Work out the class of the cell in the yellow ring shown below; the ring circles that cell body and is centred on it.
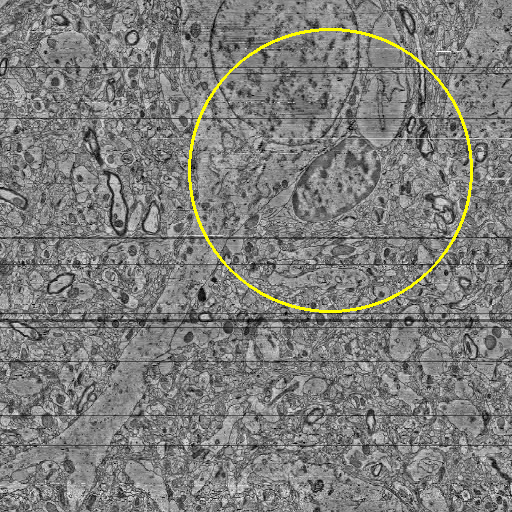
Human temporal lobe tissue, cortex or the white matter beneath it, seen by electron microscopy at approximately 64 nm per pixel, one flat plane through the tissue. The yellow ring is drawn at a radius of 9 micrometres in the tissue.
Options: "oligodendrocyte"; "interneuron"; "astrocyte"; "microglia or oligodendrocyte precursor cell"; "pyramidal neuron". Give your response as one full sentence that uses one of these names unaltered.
The body ringed in yellow, right at the ring's centre, is that of a microglial cell or oligodendrocyte precursor cell.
